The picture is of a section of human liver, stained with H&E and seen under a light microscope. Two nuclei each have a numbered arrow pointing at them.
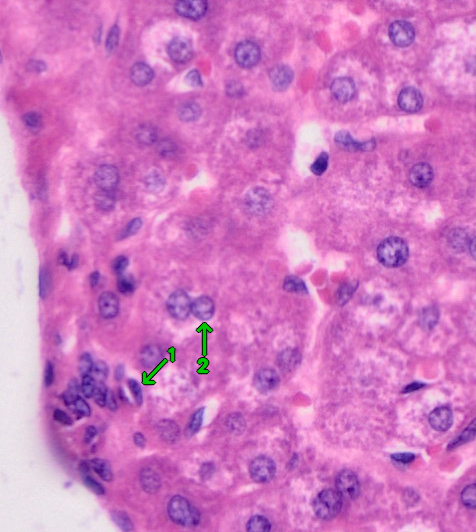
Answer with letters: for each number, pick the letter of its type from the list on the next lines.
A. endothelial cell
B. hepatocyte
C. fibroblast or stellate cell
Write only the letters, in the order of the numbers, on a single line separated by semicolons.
C; B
